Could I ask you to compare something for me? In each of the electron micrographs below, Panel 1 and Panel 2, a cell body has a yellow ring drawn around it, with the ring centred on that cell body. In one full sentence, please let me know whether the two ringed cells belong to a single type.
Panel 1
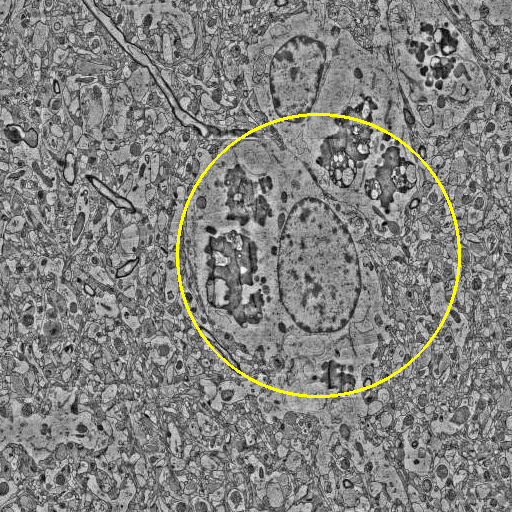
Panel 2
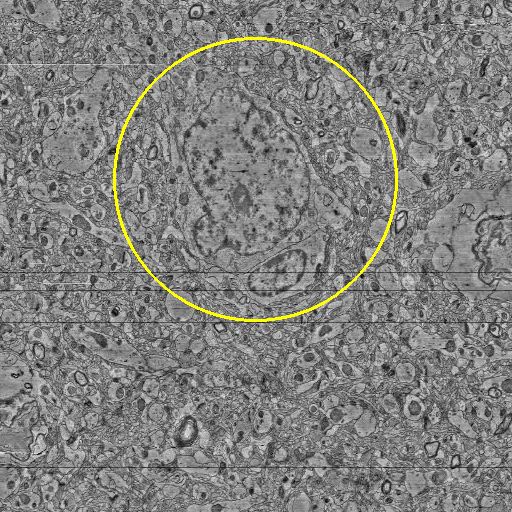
No, the two cells at the centres of the rings are of two types.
